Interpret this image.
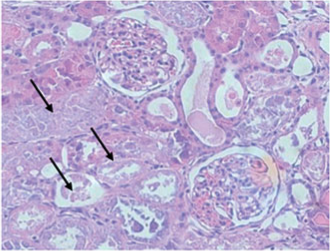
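This is kidney cortex with two glomeruli, round tufts of capillaries inside a clear Bowman's space, surrounded by tubules. The glomeruli look preserved, but many tubules are damaged: their lining cells are fragmented and lifted off into the lumen as pale, loose debris. Many of these detached cells have lost their blue nuclei, the sign of tubular necrosis. Some other tubules are dilated with a thinned lining and pink material in the lumen.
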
